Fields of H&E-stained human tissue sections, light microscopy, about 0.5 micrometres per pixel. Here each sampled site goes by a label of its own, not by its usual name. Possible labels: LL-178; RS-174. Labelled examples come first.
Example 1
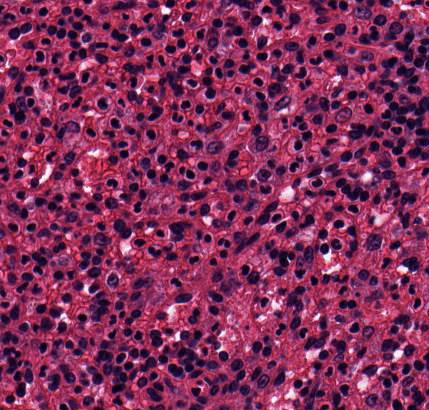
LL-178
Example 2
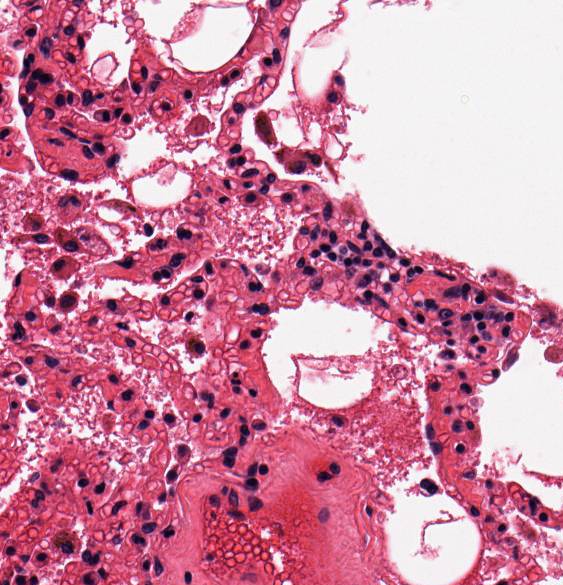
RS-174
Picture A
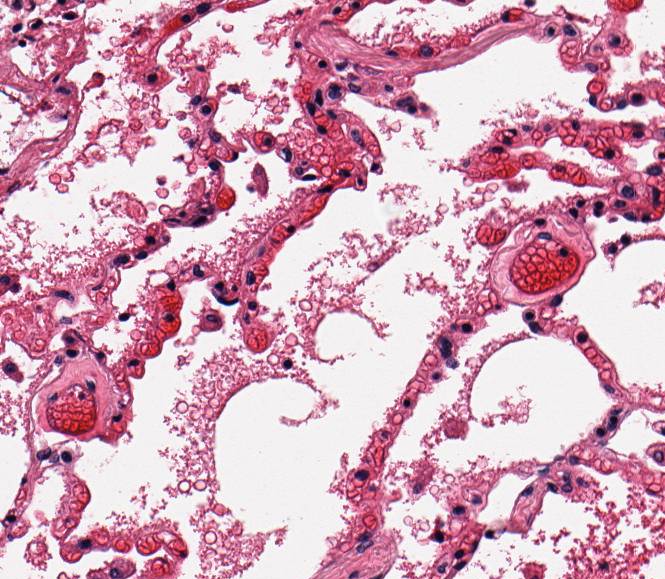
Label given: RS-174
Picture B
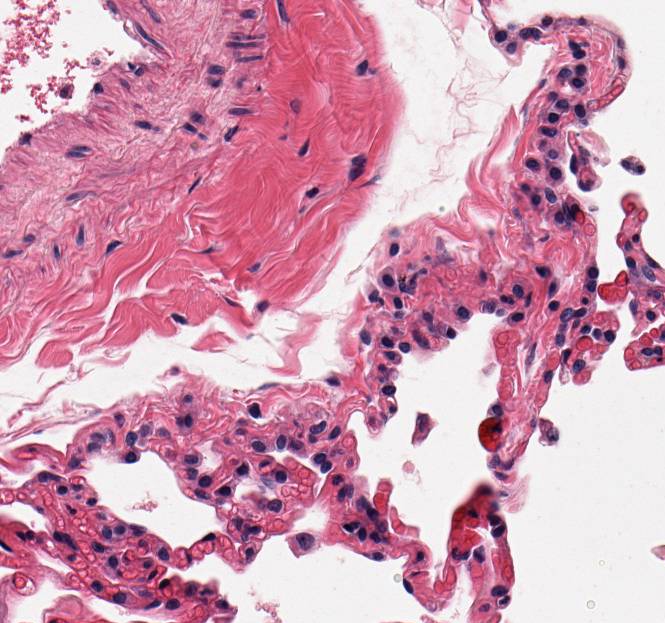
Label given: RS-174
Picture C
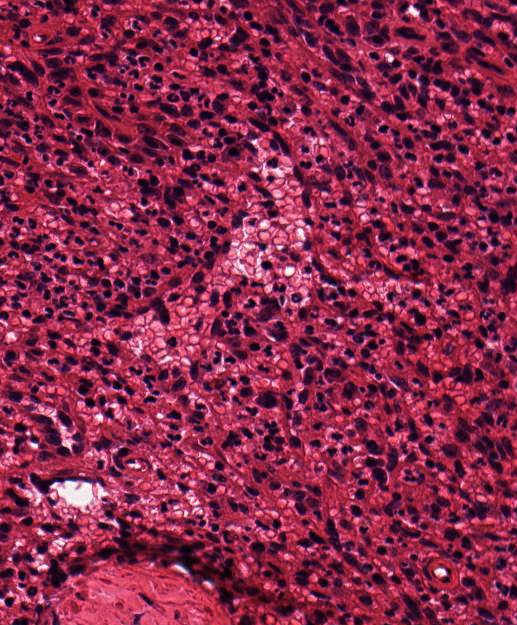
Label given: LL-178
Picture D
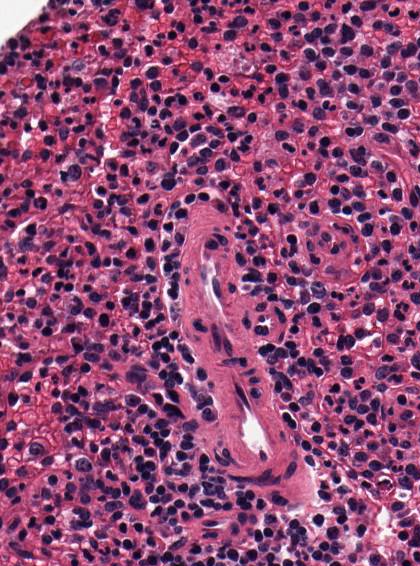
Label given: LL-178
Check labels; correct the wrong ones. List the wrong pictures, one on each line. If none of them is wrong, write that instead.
No label is wrong.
